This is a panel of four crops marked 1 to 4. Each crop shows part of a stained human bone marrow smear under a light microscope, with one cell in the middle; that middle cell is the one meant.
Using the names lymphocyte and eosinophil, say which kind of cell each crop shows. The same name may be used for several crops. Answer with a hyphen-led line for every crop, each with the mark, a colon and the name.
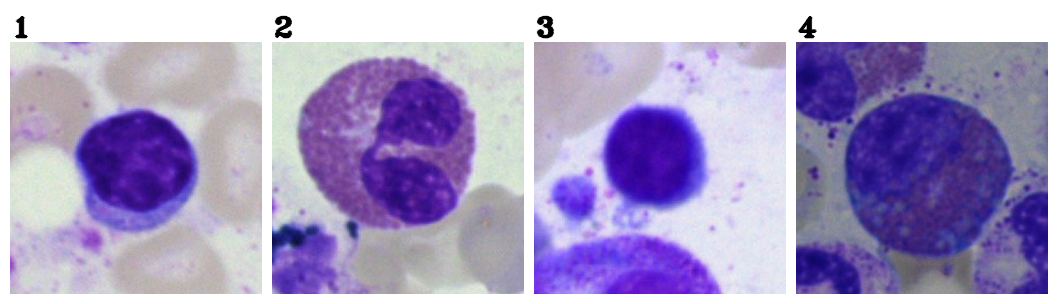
- 1: lymphocyte
- 2: eosinophil
- 3: lymphocyte
- 4: eosinophil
